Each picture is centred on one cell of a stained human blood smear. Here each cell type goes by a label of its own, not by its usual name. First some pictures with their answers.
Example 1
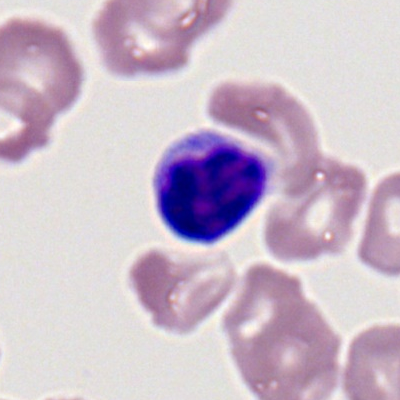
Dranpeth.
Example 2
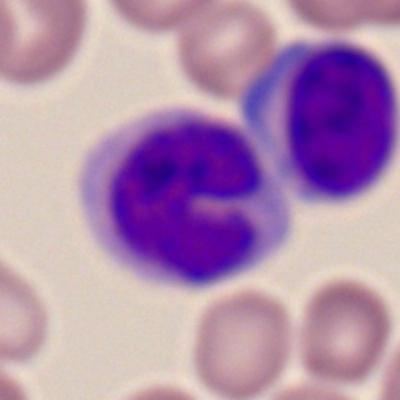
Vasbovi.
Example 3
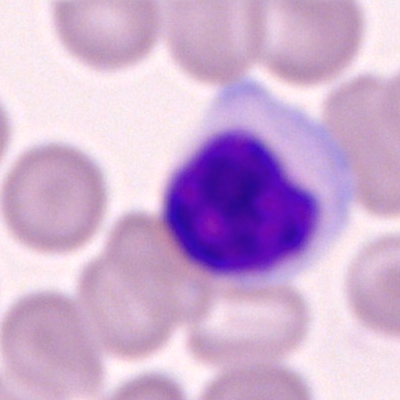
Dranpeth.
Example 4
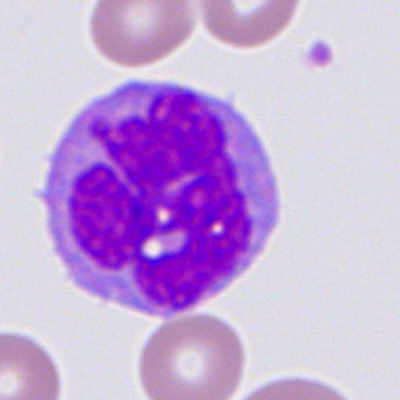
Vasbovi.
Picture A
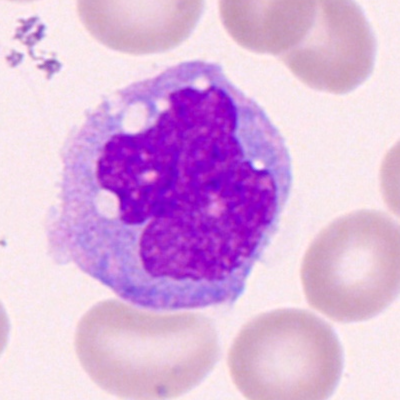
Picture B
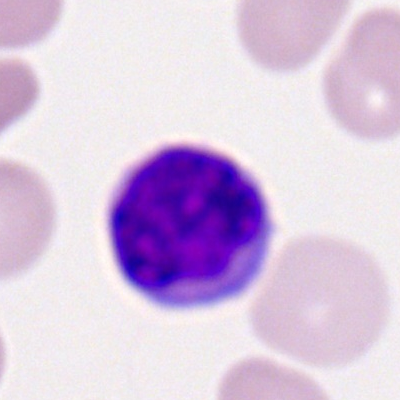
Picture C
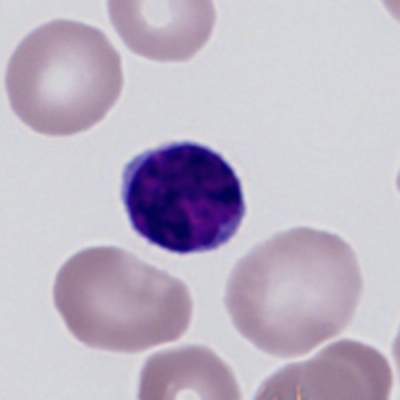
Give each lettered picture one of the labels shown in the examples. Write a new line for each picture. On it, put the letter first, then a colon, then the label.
A: Vasbovi.
B: Dranpeth.
C: Dranpeth.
